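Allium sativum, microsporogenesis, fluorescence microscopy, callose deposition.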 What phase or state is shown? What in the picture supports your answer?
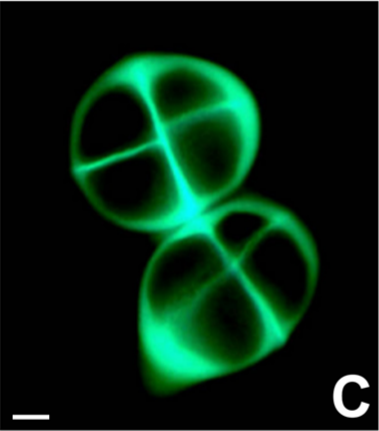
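The four compartments of each unit lie side by side in one plane, like quarters of a circle.
Tetragonal tetrad.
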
